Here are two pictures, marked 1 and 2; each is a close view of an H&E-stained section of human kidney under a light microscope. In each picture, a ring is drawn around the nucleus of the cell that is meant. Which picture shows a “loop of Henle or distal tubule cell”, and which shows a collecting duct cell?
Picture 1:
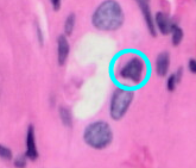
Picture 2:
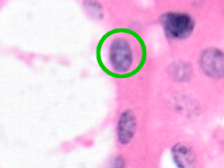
1: collecting duct cell
2: loop of Henle or distal tubule cell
